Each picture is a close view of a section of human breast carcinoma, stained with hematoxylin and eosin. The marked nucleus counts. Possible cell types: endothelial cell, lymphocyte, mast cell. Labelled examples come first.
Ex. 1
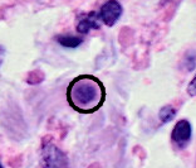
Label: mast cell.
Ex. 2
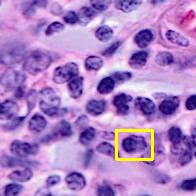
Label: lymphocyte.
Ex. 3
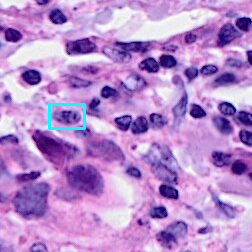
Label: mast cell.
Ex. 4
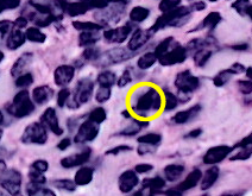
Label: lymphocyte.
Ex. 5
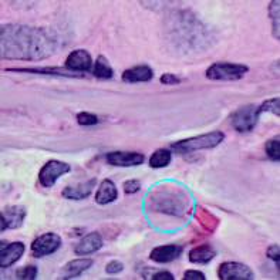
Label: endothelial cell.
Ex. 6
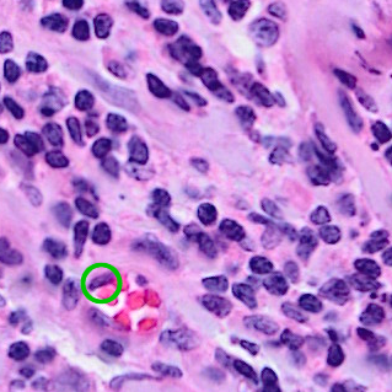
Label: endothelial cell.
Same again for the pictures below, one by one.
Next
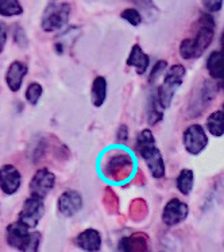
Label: endothelial cell.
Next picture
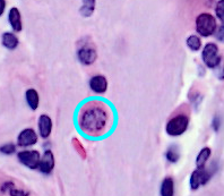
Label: mast cell.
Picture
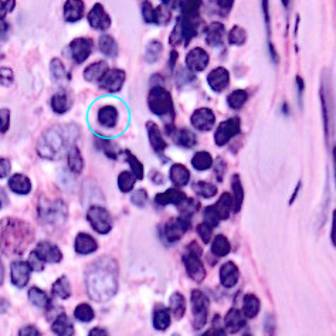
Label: lymphocyte.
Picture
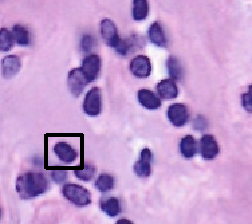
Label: lymphocyte.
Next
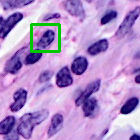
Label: lymphocyte.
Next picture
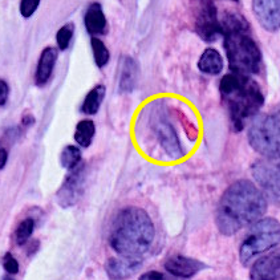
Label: endothelial cell.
